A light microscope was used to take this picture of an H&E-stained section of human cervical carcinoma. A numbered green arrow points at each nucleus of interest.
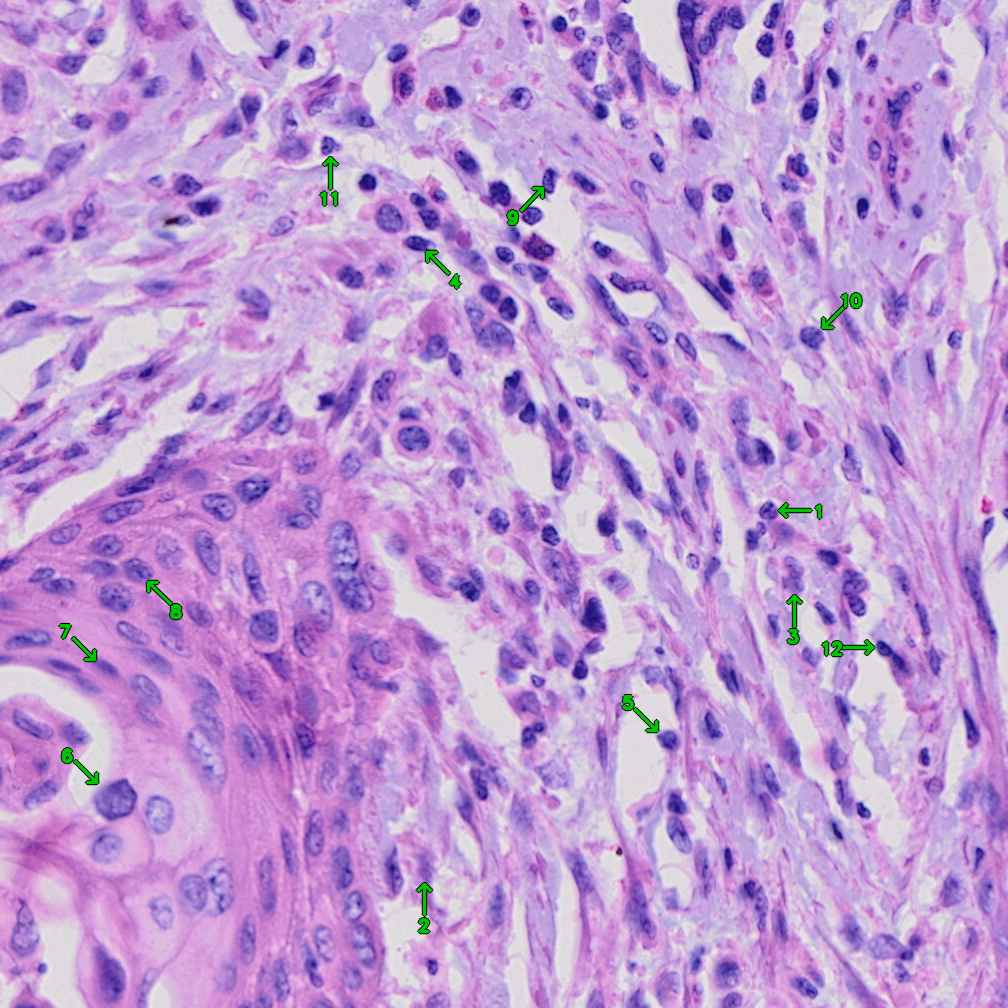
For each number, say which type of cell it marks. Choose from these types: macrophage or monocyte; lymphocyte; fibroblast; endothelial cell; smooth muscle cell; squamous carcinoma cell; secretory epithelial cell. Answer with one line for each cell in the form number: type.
1: lymphocyte
2: fibroblast
3: macrophage or monocyte
4: lymphocyte
5: lymphocyte
6: squamous carcinoma cell
7: squamous carcinoma cell
8: squamous carcinoma cell
9: lymphocyte
10: lymphocyte
11: lymphocyte
12: lymphocyte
